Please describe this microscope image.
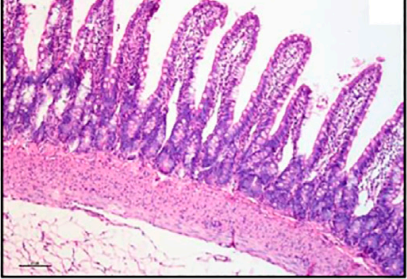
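This is a section through the wall of the small bowel, showing its mucosa, a muscular layer and loose tissue beneath. The mucosa forms tall, slender, finger-like villi that project into the lumen, each lined by a single layer of columnar epithelial cells with purple nuclei and scattered pale, vacuolated goblet-like cells. Between and beneath the villi lie tubular crypts packed with densely purple-staining cells. Below the mucosa runs a broad band of pink-staining smooth muscle, and under that a pale, loosely woven connective tissue. The villi appear intact, with their epithelial lining continuous to the tips.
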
